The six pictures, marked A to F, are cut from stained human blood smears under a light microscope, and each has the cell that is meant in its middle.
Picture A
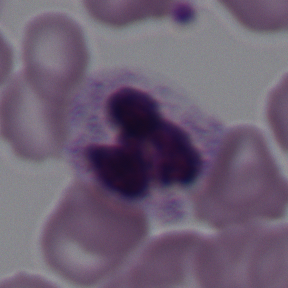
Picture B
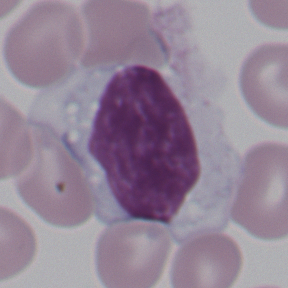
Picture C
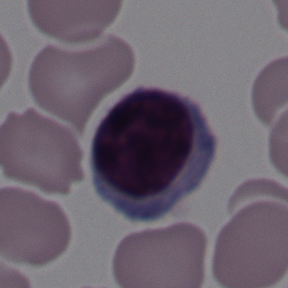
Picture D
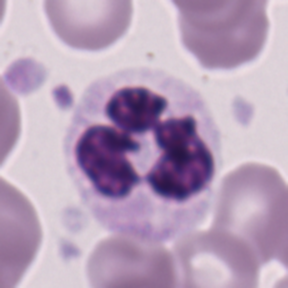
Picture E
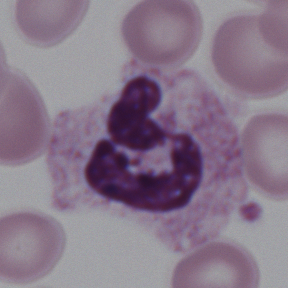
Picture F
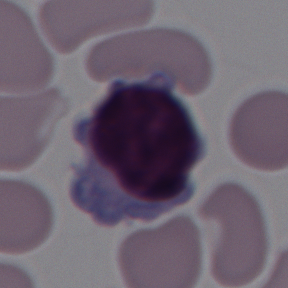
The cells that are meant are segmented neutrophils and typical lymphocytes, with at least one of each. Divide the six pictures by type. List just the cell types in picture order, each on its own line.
segmented neutrophil
typical lymphocyte
typical lymphocyte
segmented neutrophil
segmented neutrophil
typical lymphocyte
